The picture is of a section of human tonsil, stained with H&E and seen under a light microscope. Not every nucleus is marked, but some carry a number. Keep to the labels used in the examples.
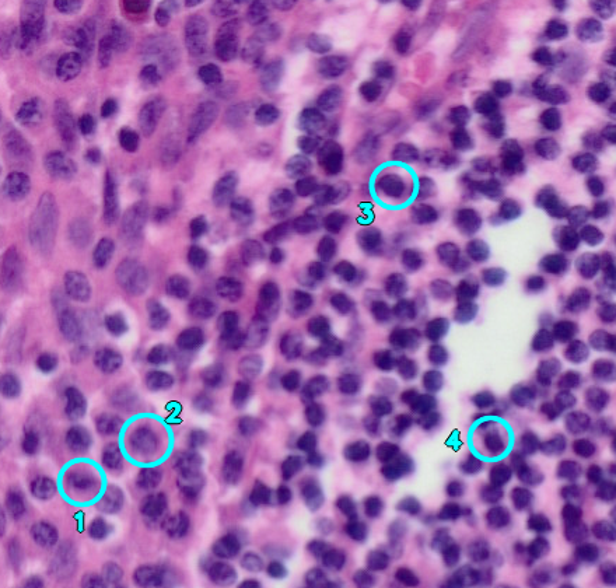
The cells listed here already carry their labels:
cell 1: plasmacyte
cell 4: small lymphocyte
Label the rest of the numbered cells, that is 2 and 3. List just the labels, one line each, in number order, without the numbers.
plasmacyte
small lymphocyte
